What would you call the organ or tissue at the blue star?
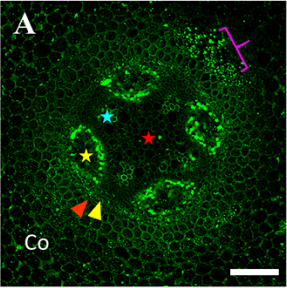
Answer: Xylem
